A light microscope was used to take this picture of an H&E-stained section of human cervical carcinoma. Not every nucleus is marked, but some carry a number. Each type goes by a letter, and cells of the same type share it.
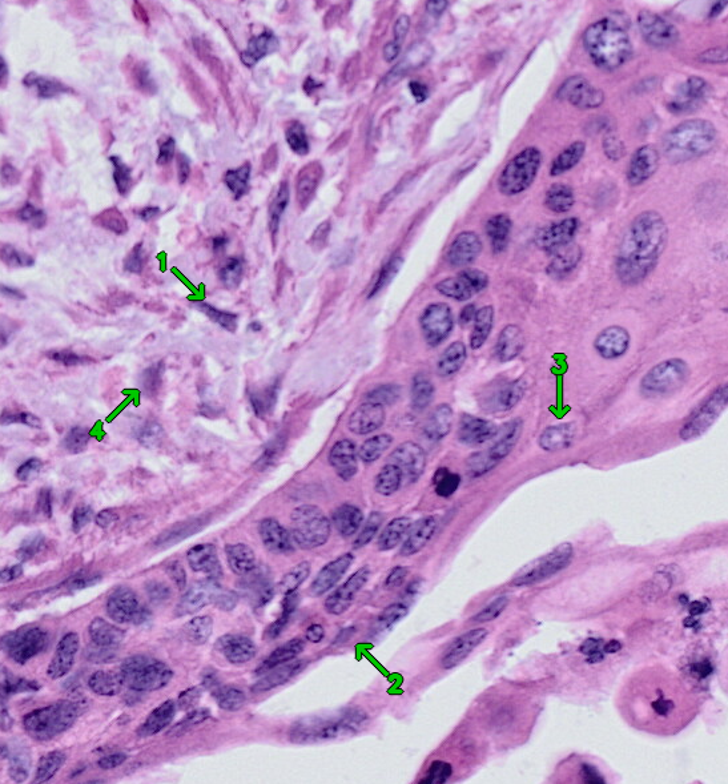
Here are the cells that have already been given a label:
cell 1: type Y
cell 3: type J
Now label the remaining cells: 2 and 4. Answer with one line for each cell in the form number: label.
2: type J
4: type Y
